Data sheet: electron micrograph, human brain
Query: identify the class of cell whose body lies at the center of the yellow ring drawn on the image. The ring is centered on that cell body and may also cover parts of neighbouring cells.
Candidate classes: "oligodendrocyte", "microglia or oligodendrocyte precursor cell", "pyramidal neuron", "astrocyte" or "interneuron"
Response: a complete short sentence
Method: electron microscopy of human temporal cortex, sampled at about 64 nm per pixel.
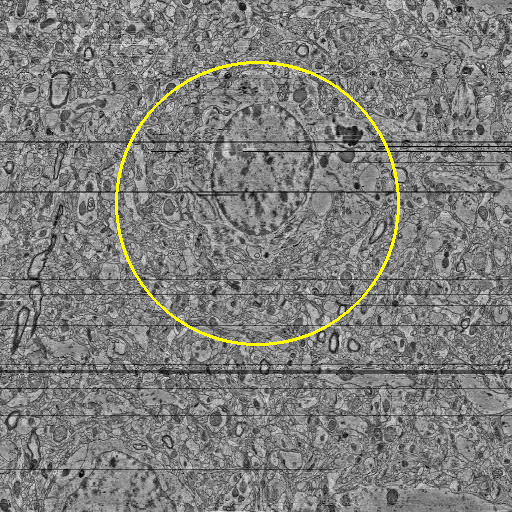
At the center of the ring lies an astrocyte.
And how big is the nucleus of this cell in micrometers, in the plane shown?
About 9 by 6 micrometers for the nucleus, in this plane.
